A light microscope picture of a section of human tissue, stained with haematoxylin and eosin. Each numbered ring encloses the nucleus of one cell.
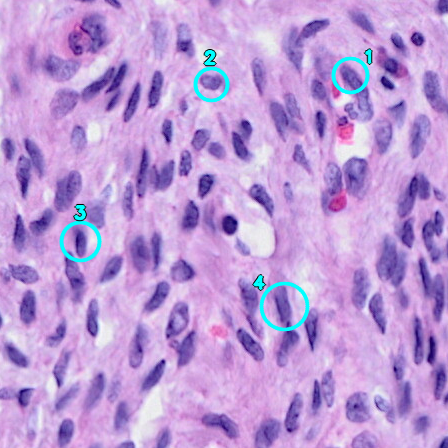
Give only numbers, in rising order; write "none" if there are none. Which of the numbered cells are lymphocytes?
none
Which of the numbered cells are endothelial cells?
1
